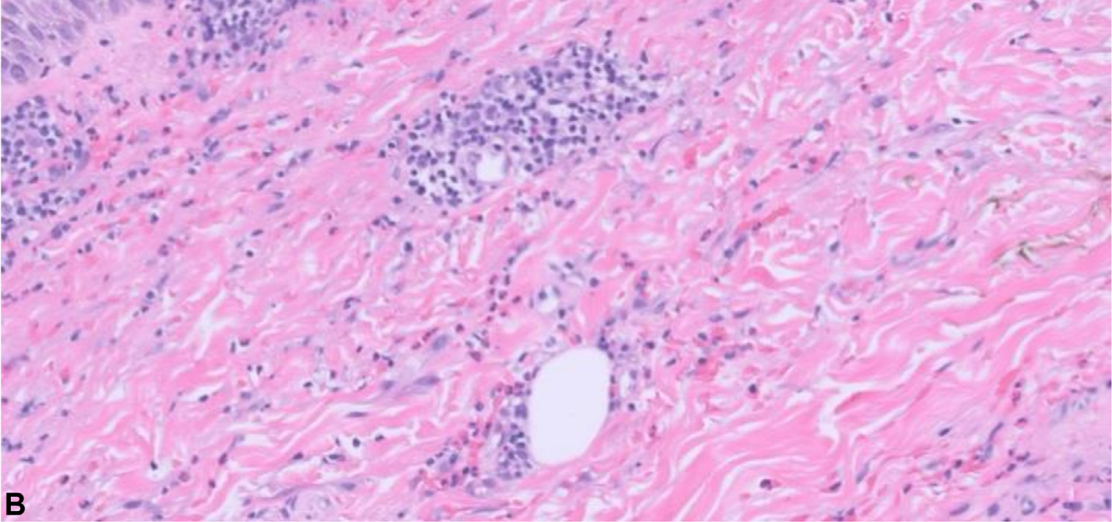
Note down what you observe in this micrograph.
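This is the dermis of skin, with a corner of the epidermis at the upper left and pink collagen bundles filling the field. Around a small vessel near the centre lies a tight cluster of small round cells with dark, dense nuclei and scant cytoplasm, typical of lymphocytes. Another round empty vessel lower down is ringed by similar cells. Between the collagen bundles, away from the vessels, single inflammatory cells and spindle-shaped nuclei are scattered. Together this reads as a perivascular and interstitial inflammatory infiltrate of mixed cells in the superficial dermis.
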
